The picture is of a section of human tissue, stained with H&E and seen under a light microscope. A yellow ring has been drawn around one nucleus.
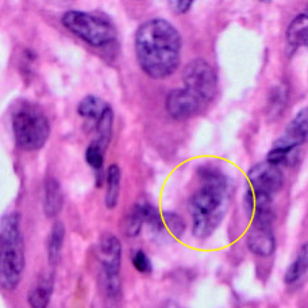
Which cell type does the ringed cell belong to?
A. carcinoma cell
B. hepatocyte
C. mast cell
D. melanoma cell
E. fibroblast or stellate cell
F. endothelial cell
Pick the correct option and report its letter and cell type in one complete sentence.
Option D properly identifies the ringed cell as a melanoma cell.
